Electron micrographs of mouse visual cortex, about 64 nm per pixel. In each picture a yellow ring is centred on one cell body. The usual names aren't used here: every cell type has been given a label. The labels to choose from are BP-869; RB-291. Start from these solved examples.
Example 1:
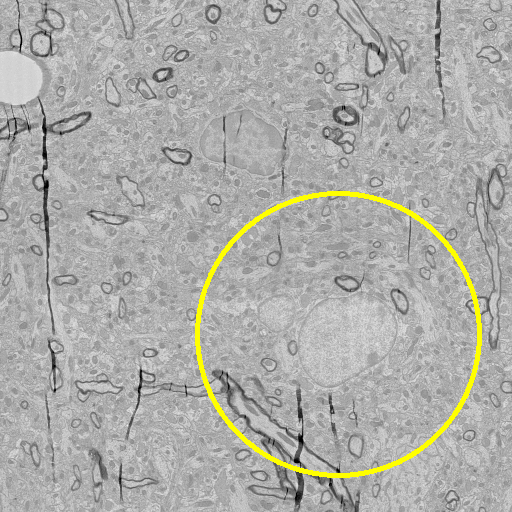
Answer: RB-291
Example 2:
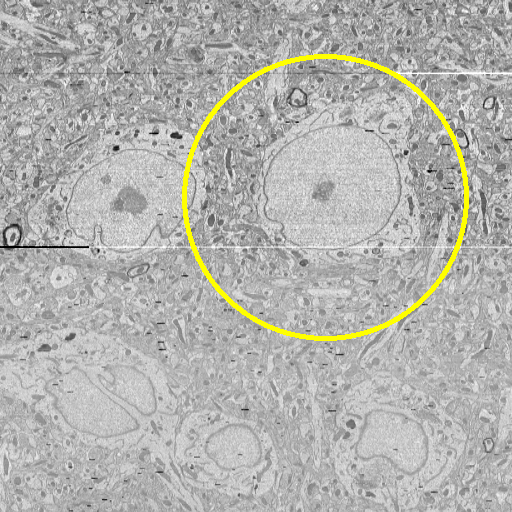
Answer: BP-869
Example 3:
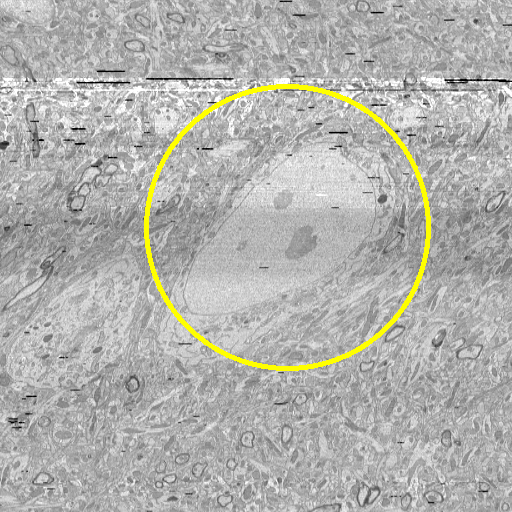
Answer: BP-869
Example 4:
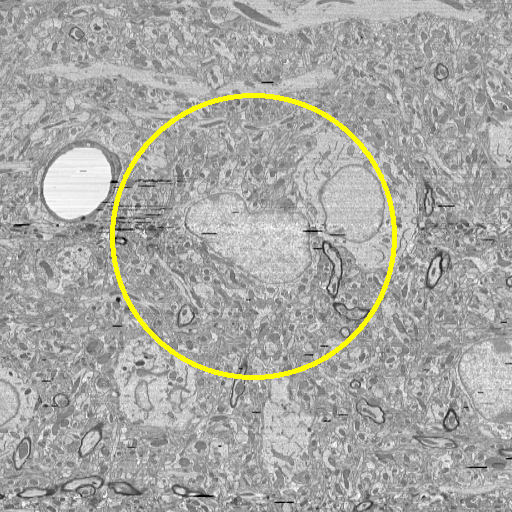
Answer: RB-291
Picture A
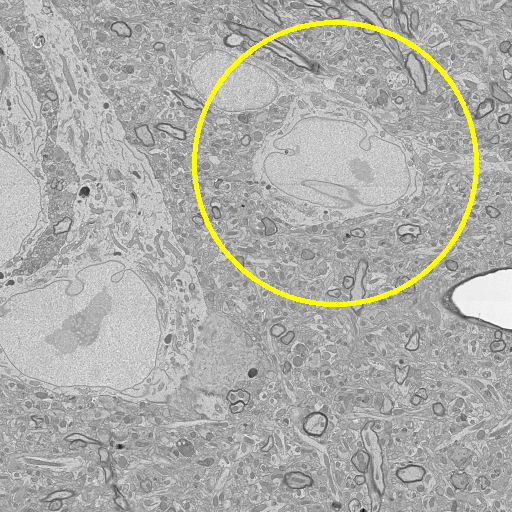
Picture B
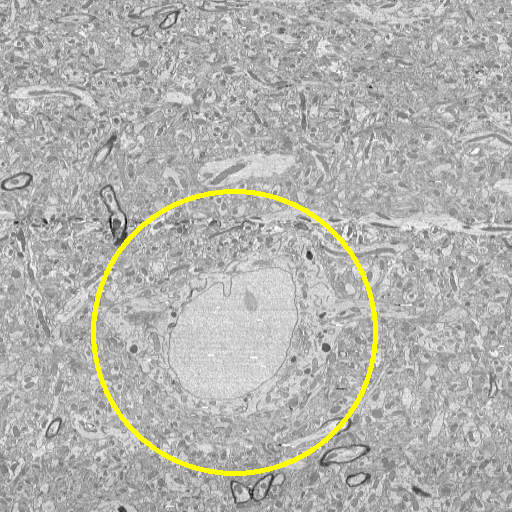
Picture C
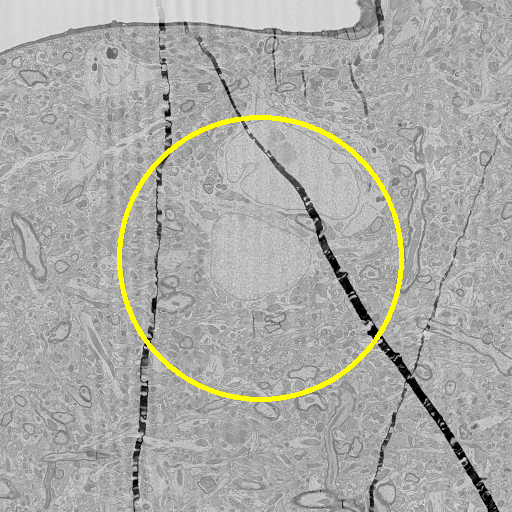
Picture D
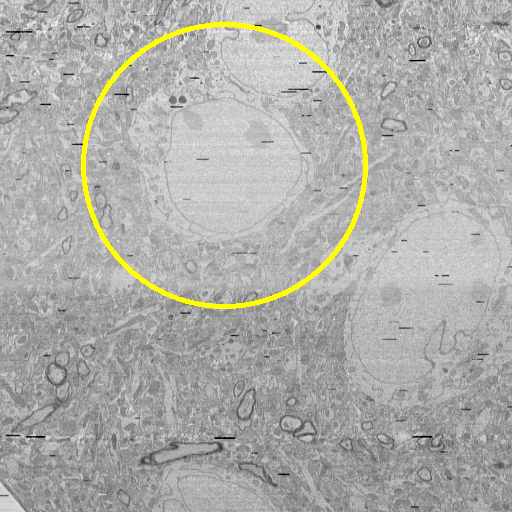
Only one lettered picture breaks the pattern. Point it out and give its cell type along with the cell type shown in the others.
Different: C, RB-291. Others: BP-869.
